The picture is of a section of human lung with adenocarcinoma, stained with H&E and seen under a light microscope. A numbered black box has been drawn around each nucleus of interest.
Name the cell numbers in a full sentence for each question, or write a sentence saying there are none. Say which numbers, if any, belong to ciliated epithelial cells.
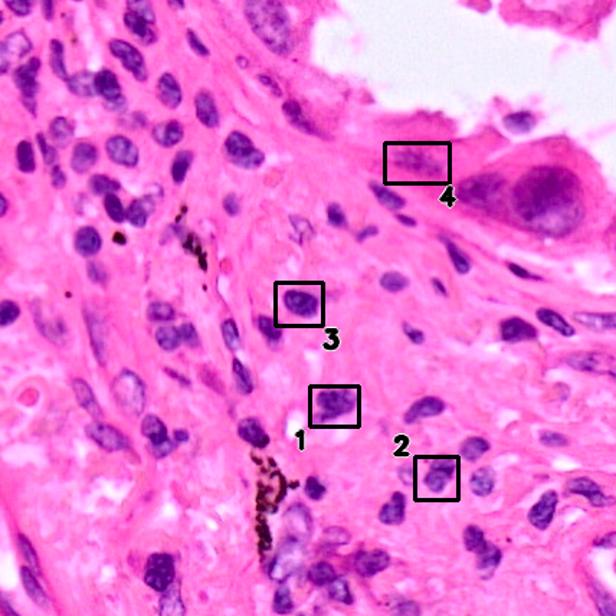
Any ciliated epithelial cells present in the section are not among the numbered cells.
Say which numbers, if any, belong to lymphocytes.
Cells 1, 2 and 3 share one type; they are lymphocytes.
